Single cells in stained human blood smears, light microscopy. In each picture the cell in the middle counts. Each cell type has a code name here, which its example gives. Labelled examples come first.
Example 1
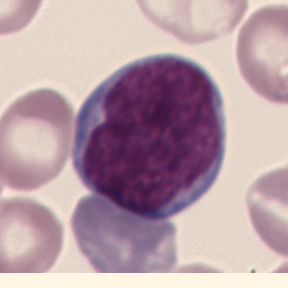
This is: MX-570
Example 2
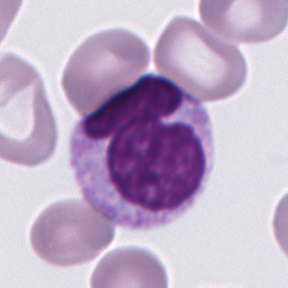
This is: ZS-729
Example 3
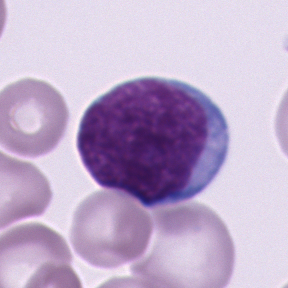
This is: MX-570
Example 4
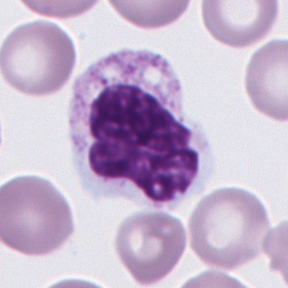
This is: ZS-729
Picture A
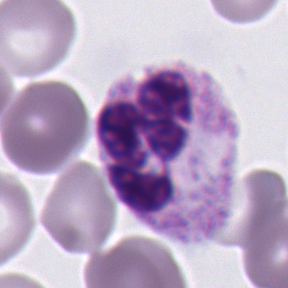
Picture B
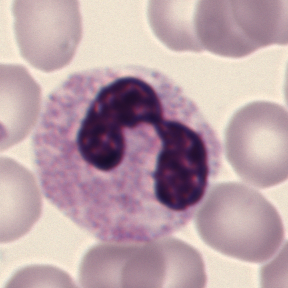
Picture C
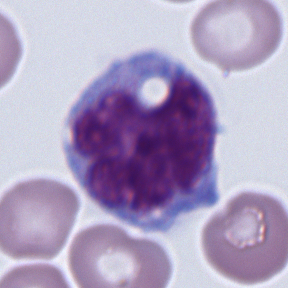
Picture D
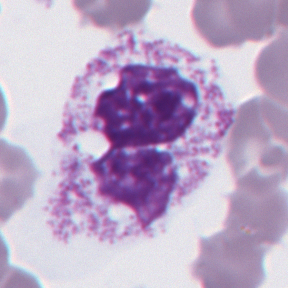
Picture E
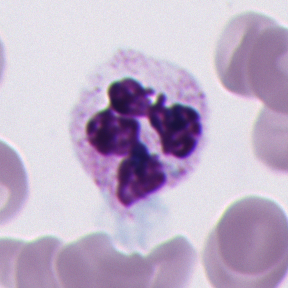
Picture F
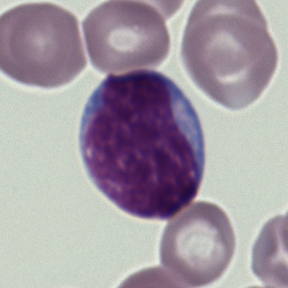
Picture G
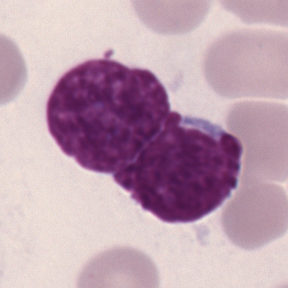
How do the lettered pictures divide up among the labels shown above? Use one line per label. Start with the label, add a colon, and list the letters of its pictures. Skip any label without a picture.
MX-570: C, F, G
ZS-729: A, B, D, E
